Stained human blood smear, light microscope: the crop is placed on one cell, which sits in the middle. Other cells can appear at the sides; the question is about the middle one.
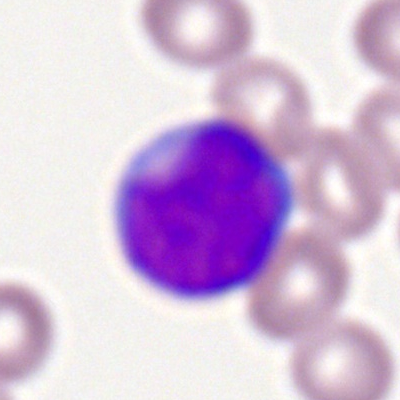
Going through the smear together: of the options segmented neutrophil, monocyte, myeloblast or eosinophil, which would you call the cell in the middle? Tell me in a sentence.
The cell at the middle of the crop is recognized as a myeloblast.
